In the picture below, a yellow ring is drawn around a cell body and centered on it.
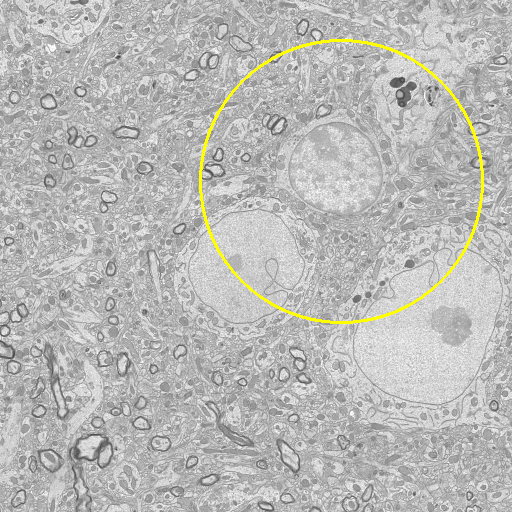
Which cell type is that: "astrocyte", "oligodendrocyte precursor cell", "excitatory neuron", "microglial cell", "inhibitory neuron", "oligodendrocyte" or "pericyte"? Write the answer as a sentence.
The cell centered in the ring is an oligodendrocyte.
